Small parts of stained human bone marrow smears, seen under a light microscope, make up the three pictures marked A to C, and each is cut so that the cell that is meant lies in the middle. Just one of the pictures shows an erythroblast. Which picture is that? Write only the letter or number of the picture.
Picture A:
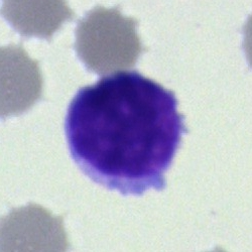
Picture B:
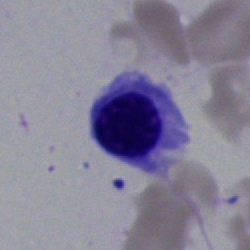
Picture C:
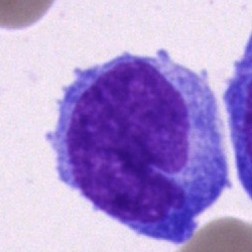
B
